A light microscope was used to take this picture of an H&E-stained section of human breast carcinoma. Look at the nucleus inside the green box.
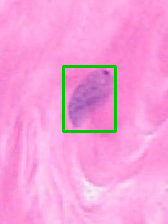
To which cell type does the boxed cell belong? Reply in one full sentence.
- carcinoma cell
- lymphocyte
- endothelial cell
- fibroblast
The boxed cell appears to be a fibroblast.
